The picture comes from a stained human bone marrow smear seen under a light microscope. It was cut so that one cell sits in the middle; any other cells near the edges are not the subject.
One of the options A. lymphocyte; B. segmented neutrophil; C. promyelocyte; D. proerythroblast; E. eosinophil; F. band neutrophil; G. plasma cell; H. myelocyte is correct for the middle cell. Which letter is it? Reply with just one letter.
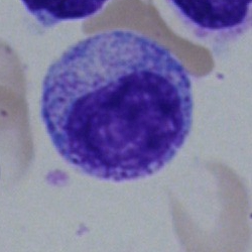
H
